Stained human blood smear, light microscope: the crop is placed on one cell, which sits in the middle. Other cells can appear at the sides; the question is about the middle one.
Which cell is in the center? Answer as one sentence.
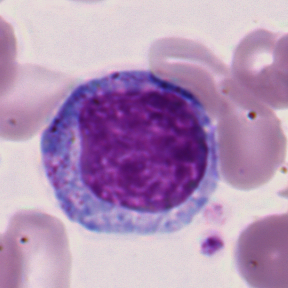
The cell in the middle of this crop is a promyelocyte.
